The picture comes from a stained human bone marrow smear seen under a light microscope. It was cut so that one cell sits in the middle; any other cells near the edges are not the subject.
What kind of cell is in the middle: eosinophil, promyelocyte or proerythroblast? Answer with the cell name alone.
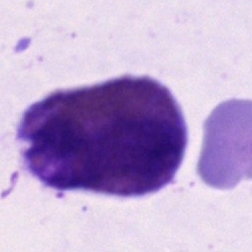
eosinophil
